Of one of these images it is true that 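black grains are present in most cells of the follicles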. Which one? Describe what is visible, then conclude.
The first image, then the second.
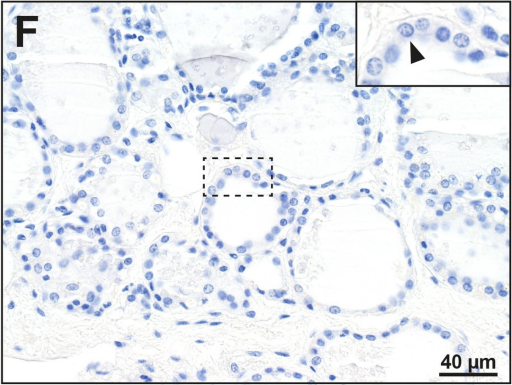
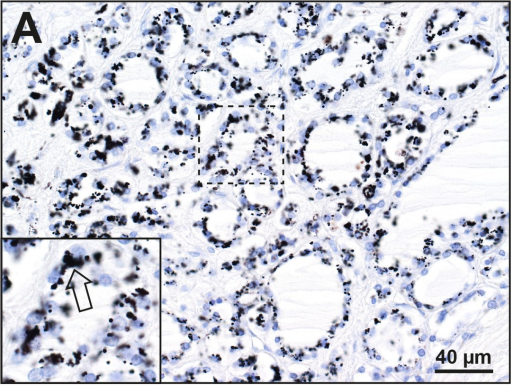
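The second image. First image: follicle lining cells show only blue nuclei and pale cytoplasm, with no black granules. Second image: dense black granules crowd the cells around nearly every follicle.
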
